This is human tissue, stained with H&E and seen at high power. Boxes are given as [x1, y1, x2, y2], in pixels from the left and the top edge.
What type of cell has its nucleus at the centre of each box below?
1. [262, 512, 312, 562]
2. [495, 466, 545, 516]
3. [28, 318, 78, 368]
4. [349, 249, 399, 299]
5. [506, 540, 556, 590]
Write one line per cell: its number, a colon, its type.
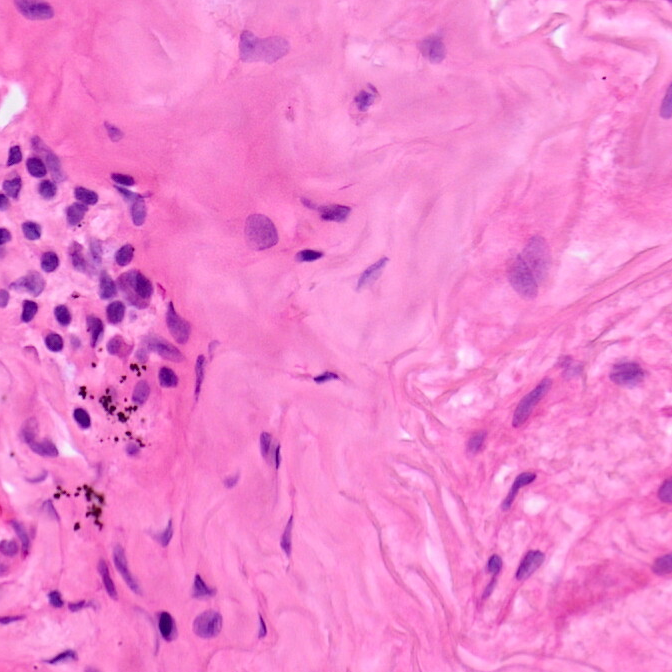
1: fibroblast
2: smooth muscle cell or pericyte
3: lymphocyte
4: fibroblast
5: smooth muscle cell or pericyte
